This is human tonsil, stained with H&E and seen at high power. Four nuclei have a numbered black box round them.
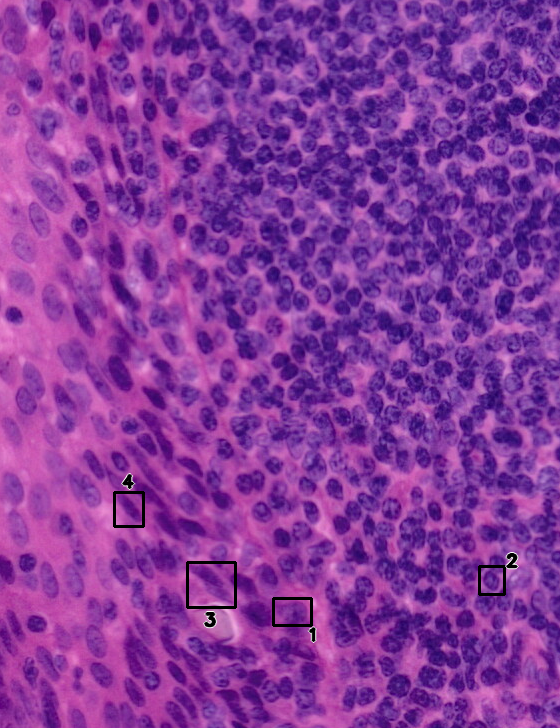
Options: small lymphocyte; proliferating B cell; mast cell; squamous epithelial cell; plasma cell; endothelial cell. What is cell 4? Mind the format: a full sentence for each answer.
The cell assigned the number 4 is a squamous epithelial cell.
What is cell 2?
The cell with the number 2 is a small lymphocyte.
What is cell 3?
Number 3 is placed on a squamous epithelial cell here.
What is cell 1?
Among the marked cells, number 1 is a squamous epithelial cell.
